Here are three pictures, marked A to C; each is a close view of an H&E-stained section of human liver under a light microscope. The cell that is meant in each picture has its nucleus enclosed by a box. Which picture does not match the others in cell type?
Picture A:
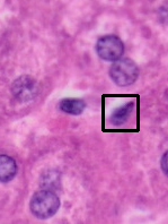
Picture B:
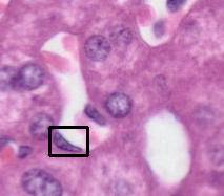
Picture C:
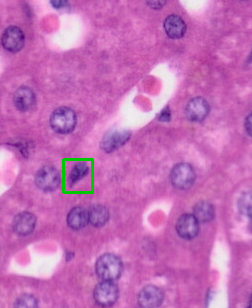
C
